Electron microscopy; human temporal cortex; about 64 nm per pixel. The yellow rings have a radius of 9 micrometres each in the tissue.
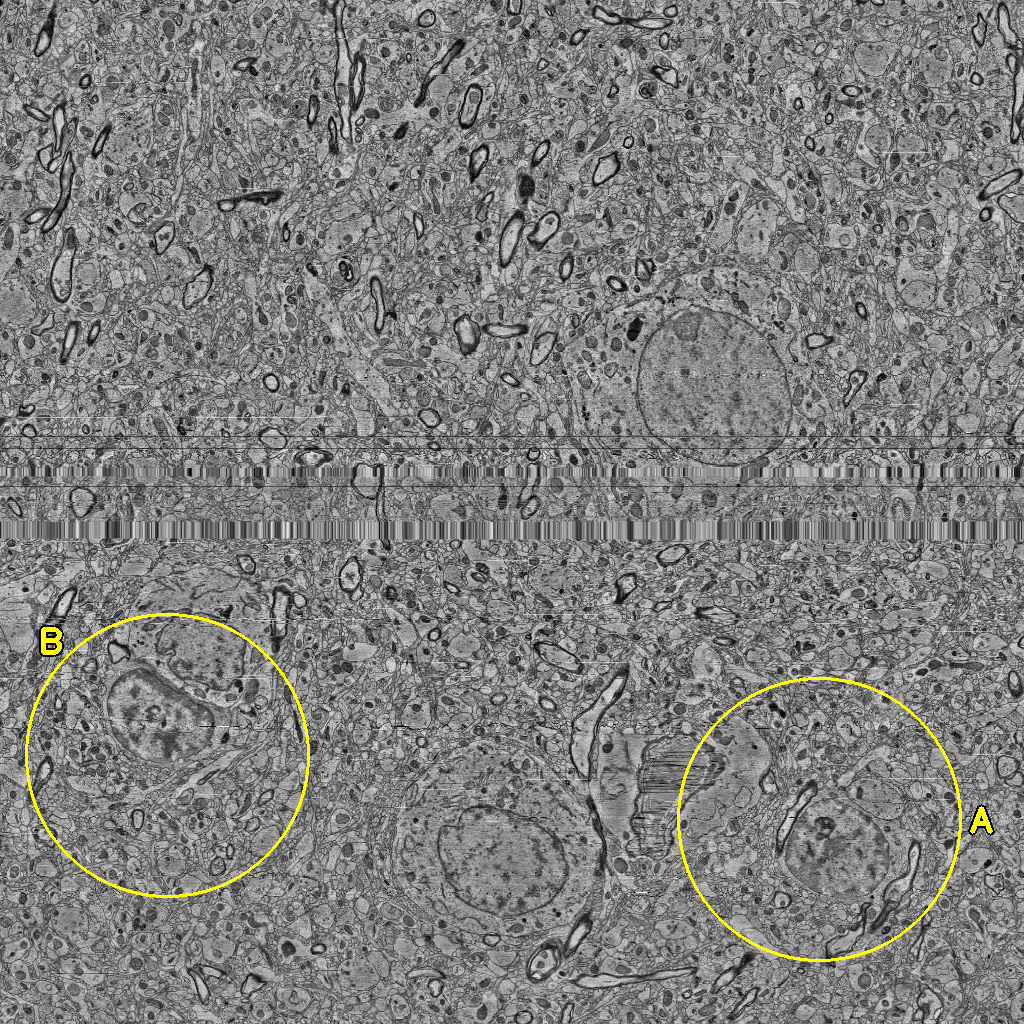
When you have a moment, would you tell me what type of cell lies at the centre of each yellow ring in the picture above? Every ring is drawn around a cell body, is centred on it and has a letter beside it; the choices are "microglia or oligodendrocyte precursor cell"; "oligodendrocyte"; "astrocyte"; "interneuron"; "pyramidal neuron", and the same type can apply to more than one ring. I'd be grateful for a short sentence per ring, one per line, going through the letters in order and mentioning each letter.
The cell at the centre of ring A is an oligodendrocyte.
The cell at the centre of ring B is an oligodendrocyte.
